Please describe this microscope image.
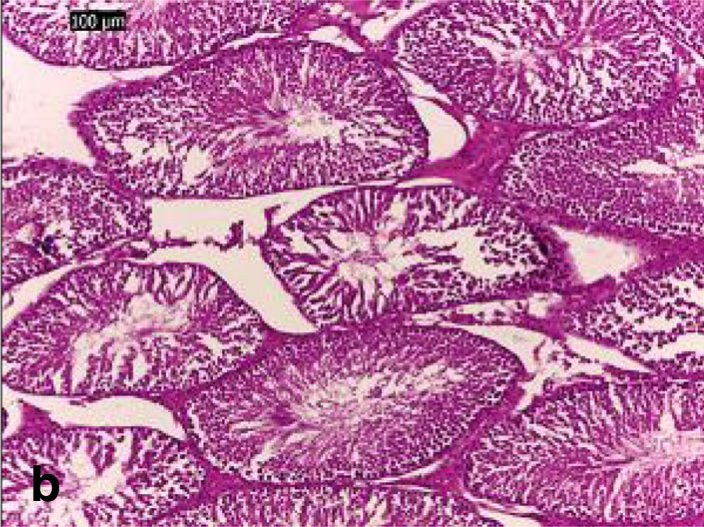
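This is a section of testis showing seminiferous tubules, many of them cut obliquely so they appear as elongated ovals. Each tubule has a multilayered lining of cells with dark purple nuclei, arranged from the outer edge toward a central lumen. The lumens contain pale pink, thread-like material radiating from the centre. Between the tubules there are strips of pink interstitial tissue and, in places, wider clear spaces. The layers of cells in some tubules look looser and less even than in a tightly packed epithelium.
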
